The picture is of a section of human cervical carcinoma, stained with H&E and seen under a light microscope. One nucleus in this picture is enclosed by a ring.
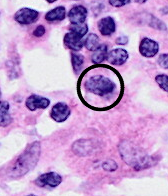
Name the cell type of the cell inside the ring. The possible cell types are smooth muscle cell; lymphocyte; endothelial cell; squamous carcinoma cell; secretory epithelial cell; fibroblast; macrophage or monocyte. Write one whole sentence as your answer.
In the context of this tissue, the cell inside the ring is a lymphocyte.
